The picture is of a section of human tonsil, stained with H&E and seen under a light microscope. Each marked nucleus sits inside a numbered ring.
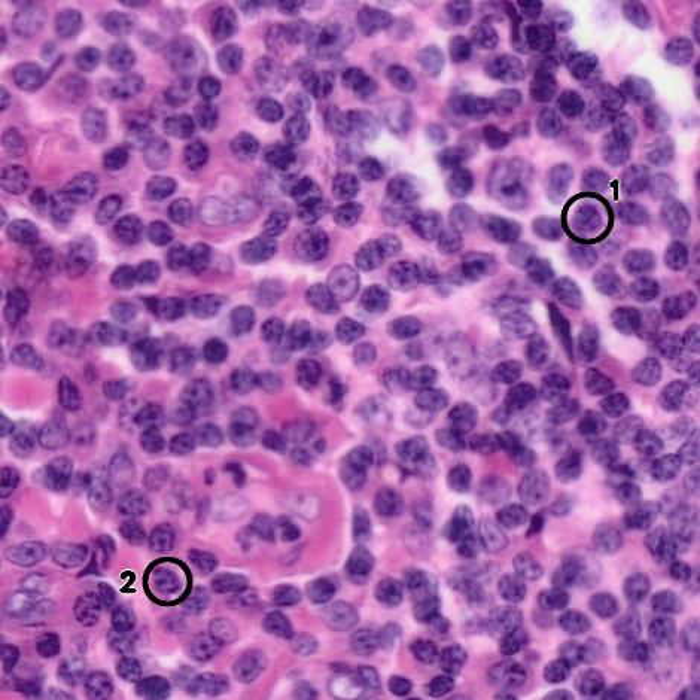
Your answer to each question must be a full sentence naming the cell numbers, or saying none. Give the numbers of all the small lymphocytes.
Cell 1 represents a small lymphocyte, and no other numbered cell does.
